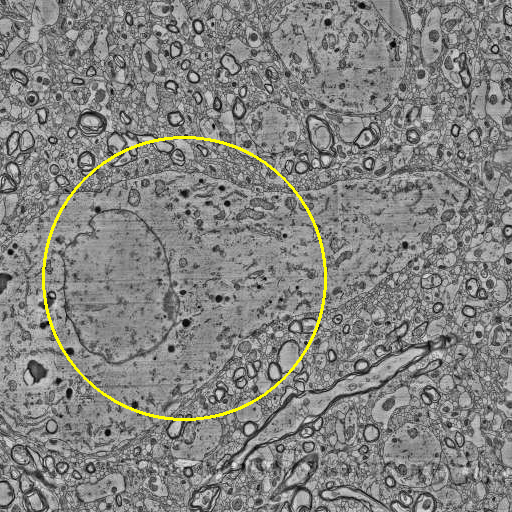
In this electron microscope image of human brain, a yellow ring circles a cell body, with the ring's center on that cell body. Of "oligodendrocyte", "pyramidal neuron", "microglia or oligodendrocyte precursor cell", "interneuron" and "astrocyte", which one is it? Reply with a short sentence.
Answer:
It is a pyramidal neuron at the center of the ring.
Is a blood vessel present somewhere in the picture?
No, no blood vessel can be seen.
